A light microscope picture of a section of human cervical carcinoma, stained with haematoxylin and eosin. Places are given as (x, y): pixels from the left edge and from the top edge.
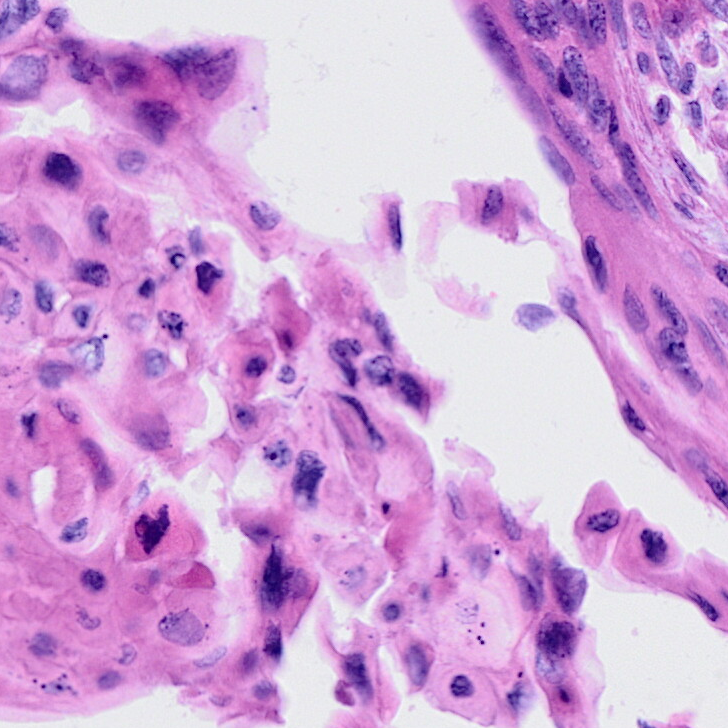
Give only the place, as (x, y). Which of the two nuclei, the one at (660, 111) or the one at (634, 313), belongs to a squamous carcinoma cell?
(634, 313)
